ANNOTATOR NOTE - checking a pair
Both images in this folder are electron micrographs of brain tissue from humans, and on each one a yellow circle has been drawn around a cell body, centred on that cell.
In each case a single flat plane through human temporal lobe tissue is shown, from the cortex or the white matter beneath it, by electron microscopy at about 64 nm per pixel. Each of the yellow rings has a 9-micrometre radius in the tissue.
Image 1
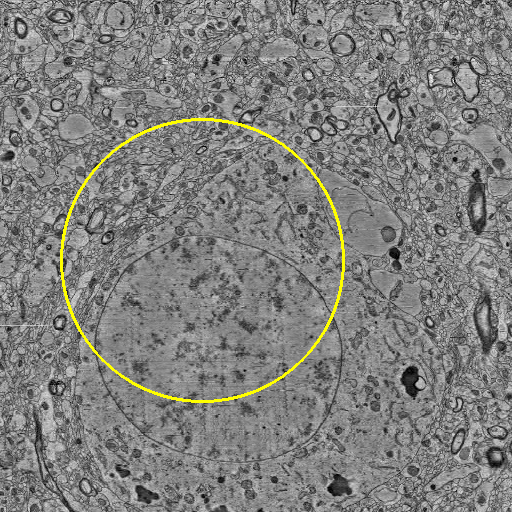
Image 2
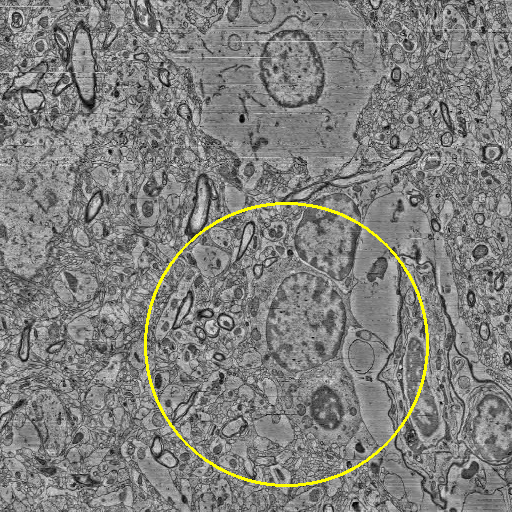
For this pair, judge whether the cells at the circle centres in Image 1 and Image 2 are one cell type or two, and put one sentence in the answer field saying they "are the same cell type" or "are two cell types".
For this pair, the cells at the circle centres in Images 1 and 2 are two cell types.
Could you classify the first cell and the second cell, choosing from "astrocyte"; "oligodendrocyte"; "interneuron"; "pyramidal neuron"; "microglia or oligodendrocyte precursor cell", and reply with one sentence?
The second cell is an oligodendrocyte, while the first is a pyramidal neuron.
